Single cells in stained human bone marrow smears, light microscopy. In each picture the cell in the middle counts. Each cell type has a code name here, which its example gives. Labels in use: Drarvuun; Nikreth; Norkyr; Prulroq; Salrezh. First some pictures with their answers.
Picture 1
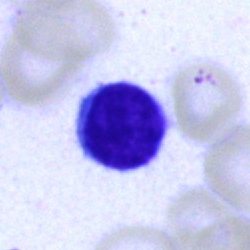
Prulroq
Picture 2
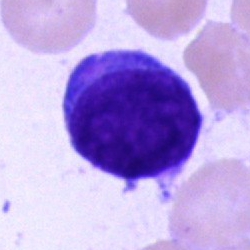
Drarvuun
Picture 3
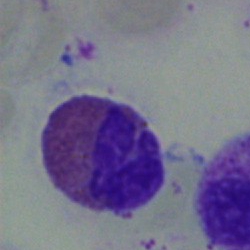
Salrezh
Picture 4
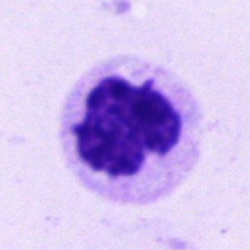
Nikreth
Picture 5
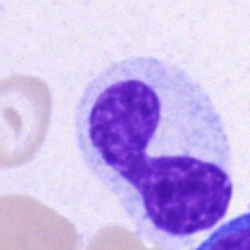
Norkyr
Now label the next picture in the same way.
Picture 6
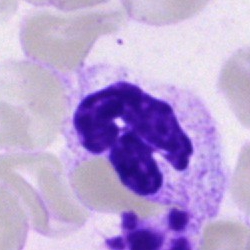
Nikreth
